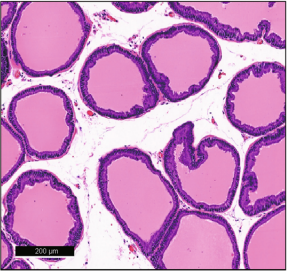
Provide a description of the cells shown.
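This is glandular prostate tissue made of large, rounded acini lined by a single thin layer of epithelial cells with dark purple nuclei. The lumens are wide and filled with homogeneous pale pink secretion. Between the acini lies a sparse, loose, pale stroma with few cells.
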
